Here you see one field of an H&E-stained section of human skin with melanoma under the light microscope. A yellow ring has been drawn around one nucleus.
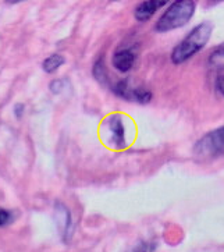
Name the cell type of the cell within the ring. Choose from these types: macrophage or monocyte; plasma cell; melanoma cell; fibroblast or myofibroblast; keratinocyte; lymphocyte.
fibroblast or myofibroblast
